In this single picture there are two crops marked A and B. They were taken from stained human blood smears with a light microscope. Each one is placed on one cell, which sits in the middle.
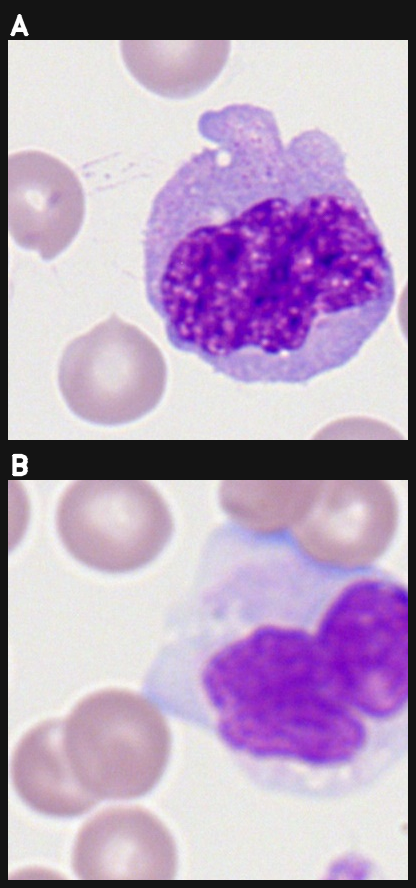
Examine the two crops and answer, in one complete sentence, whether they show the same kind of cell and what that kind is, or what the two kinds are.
Yes, monocytes are what the two crops show.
